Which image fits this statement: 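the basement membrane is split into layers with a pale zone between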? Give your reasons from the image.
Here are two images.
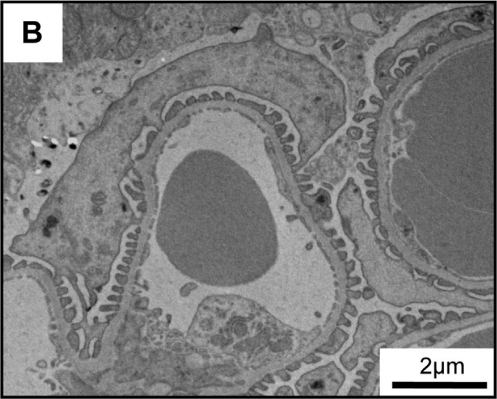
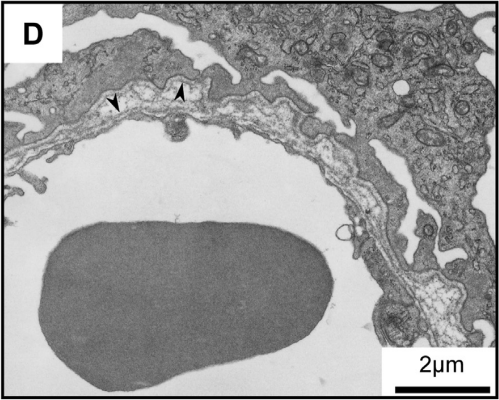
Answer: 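Second image: the basement membrane is wide with a pale, loose middle between thin dense lines. First image: the basement membrane is a thin, even, dense band. That points to this answer: the second image.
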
